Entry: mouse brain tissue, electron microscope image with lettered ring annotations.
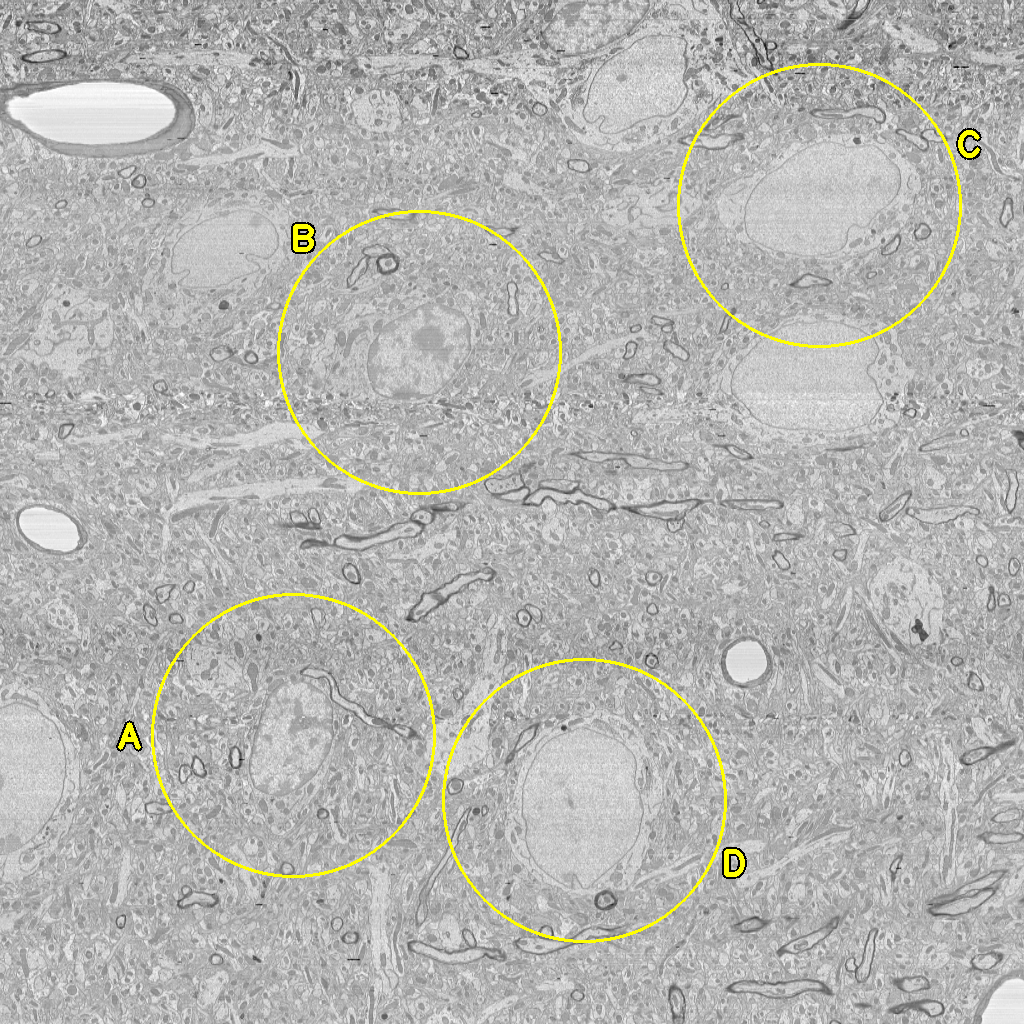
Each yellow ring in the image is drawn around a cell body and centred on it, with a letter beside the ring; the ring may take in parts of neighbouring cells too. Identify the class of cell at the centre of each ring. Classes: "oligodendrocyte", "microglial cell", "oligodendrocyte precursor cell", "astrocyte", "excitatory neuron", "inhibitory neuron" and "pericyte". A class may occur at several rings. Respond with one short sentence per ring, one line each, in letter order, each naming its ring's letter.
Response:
Ring A holds an oligodendrocyte at its centre.
Ring B holds an oligodendrocyte at its centre.
Ring C holds an excitatory neuron at its centre.
Ring D holds an excitatory neuron at its centre.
